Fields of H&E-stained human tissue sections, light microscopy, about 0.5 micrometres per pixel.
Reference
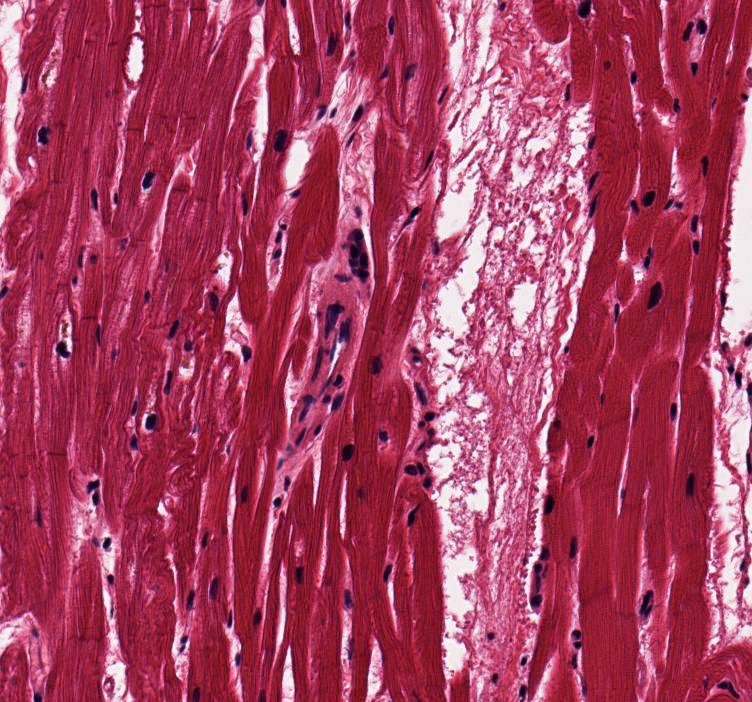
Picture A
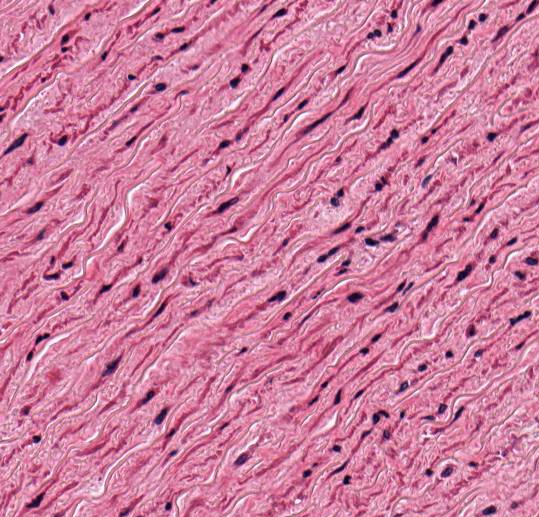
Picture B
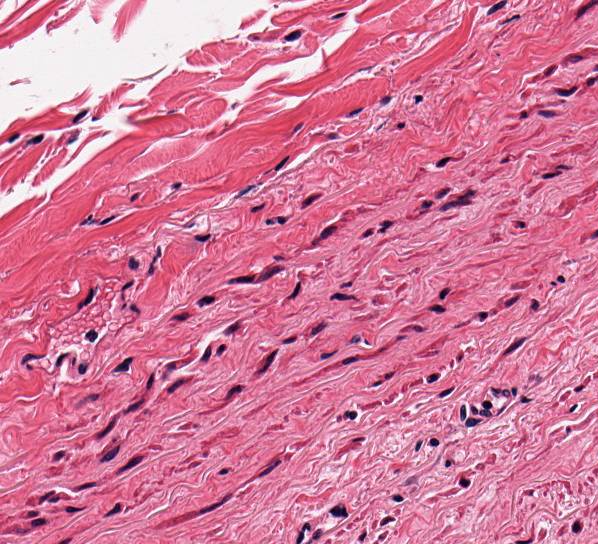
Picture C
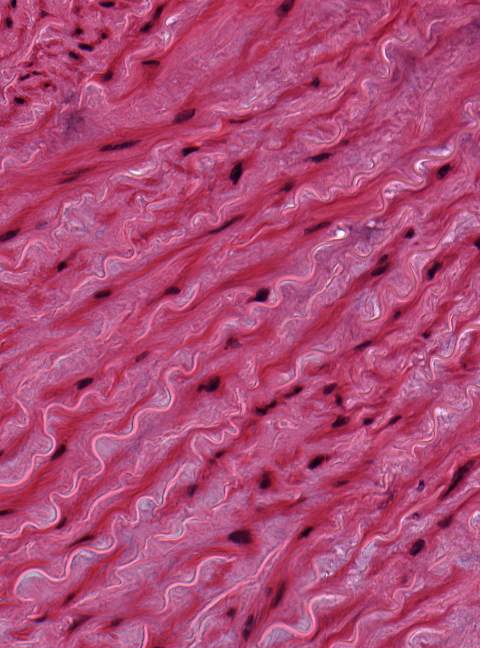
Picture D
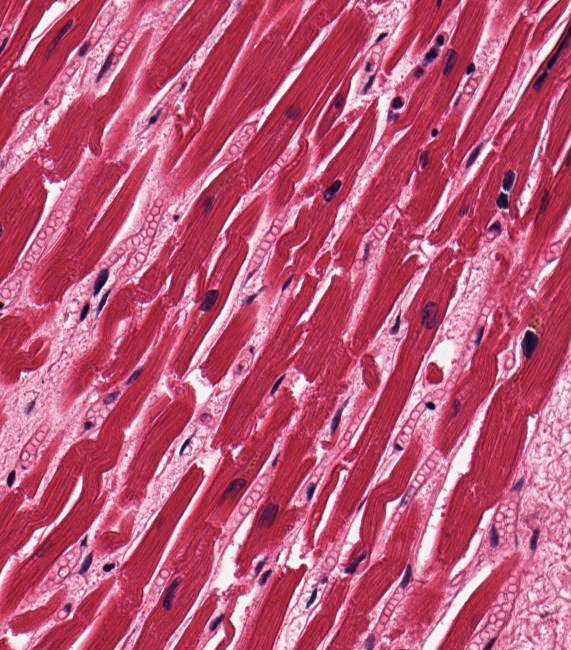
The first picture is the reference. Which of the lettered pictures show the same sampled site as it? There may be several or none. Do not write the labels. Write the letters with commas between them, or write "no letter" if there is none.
D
